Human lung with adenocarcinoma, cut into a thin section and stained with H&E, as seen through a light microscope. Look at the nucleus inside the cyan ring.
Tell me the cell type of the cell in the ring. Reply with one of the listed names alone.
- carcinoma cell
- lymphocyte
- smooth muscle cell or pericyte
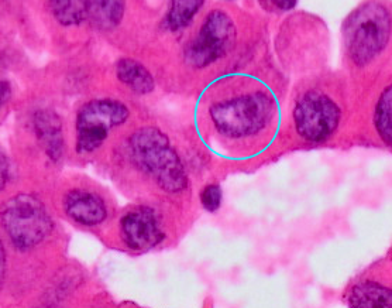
carcinoma cell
